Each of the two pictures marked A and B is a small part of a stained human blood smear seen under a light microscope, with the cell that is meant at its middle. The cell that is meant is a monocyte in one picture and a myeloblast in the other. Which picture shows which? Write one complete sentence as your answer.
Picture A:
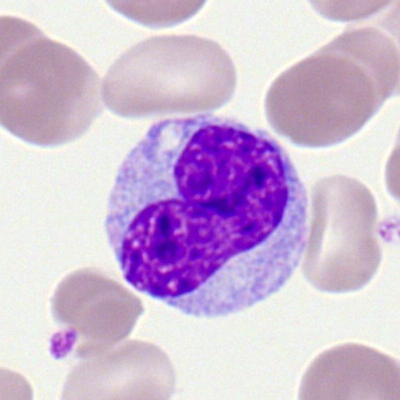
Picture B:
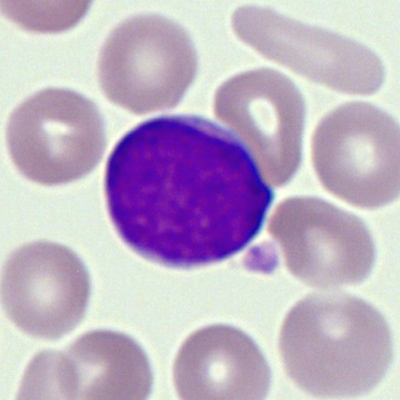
In picture A the cell is a monocyte; in picture B, a myeloblast.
